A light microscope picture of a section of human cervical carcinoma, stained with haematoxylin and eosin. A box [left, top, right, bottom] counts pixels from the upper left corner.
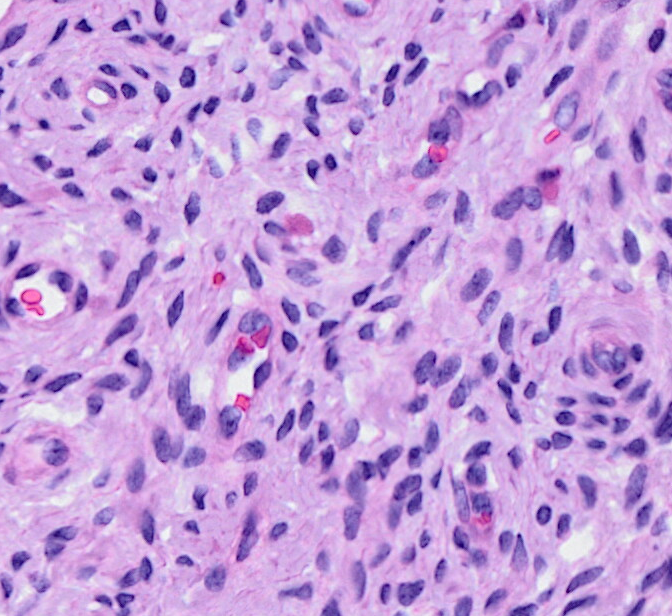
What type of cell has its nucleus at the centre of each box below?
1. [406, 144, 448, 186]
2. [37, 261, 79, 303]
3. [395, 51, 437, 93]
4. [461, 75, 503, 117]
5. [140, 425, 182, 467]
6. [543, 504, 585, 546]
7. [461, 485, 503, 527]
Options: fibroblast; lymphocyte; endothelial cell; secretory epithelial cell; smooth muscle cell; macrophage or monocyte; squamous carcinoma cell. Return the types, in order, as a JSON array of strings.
["endothelial cell", "endothelial cell", "fibroblast", "endothelial cell", "fibroblast", "fibroblast", "endothelial cell"]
